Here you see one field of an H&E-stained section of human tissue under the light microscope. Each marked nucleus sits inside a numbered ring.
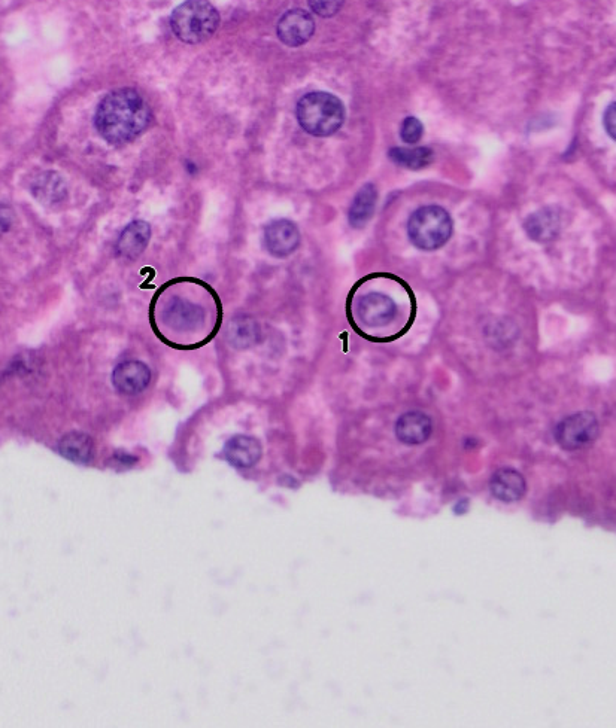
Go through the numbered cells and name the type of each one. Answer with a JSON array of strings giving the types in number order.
["hepatocyte", "endothelial cell"]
